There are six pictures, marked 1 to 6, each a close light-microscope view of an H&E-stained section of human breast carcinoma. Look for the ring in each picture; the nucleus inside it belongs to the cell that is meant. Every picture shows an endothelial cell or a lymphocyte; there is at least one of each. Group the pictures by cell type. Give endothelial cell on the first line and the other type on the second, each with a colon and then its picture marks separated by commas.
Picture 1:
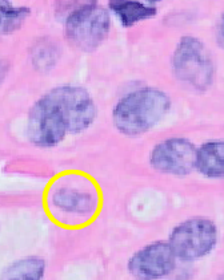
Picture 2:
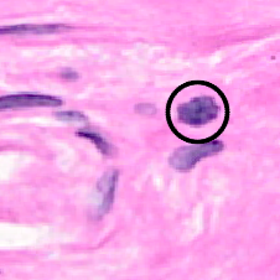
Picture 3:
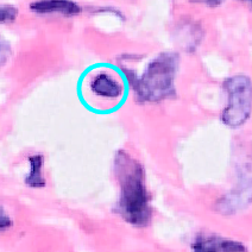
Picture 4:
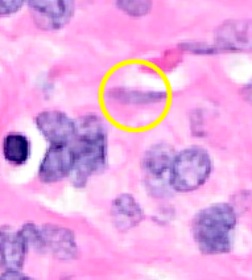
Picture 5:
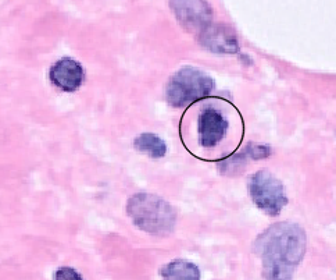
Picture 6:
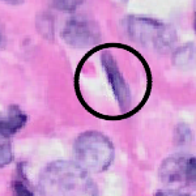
endothelial cell: 1, 4, 6
lymphocyte: 2, 3, 5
